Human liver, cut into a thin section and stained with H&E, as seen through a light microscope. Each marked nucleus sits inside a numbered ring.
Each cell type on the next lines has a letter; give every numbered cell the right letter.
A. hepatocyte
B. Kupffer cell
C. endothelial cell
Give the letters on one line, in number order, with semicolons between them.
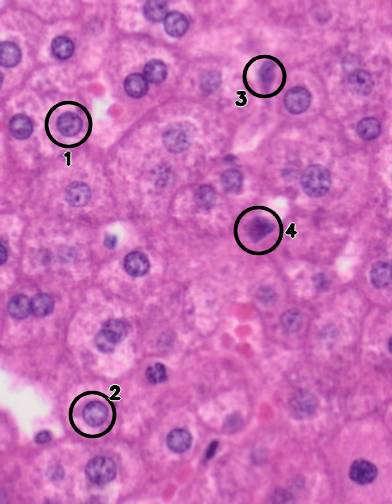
A; A; B; C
